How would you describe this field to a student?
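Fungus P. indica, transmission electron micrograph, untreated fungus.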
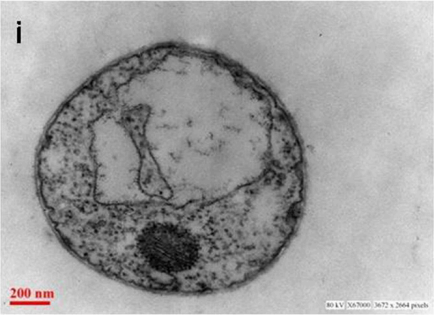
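Cross-section of a fungal hypha, round in outline, bounded by a thin dark cell wall closely lined by the plasma membrane. The cytoplasm is finely granular and dotted with many small dark particles, and it forms a band around the periphery. A large pale vacuole occupies the upper part of the cell, crossed by a thin membranous strand. Near the lower edge lies a dense oval body with fine striated texture. The section is evenly preserved, with the cytoplasm in contact with the wall all around and no dark deposits on or outside the wall.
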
